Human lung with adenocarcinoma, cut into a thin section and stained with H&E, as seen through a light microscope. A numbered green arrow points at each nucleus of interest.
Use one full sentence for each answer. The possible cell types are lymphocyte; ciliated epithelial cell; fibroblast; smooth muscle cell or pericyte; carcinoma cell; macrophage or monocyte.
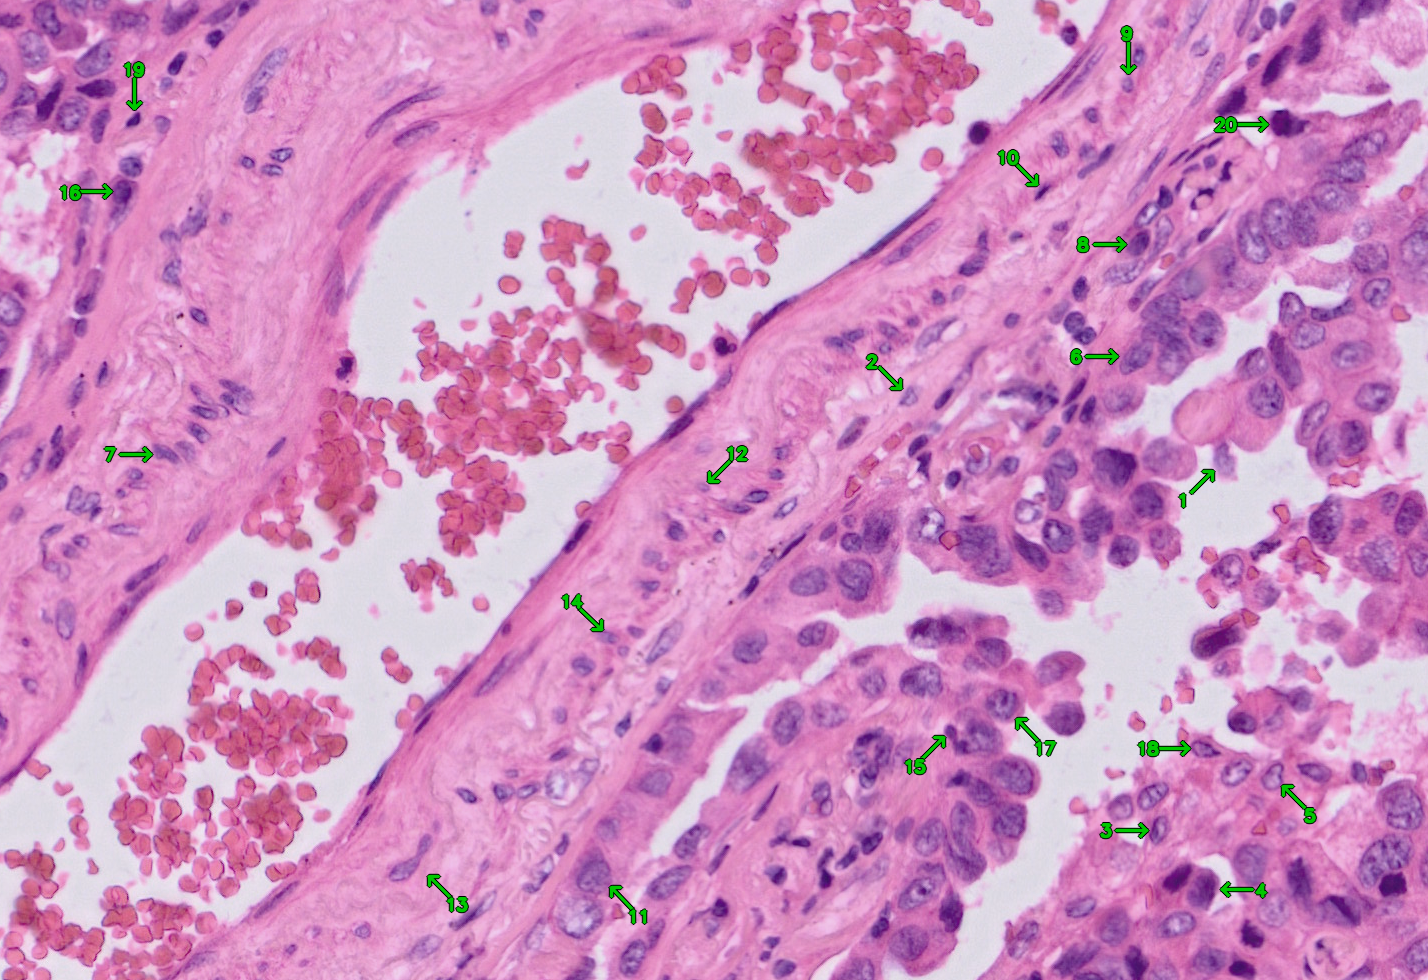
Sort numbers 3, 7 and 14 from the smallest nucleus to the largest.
The order from the smallest nucleus to the largest is 14, 7, 3.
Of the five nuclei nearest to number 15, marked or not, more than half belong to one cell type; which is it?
Of the five nuclei nearest to number 15, most belong to carcinoma cells.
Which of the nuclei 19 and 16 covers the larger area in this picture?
Number 16 is larger; its area is about 2.5 times that of number 19.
